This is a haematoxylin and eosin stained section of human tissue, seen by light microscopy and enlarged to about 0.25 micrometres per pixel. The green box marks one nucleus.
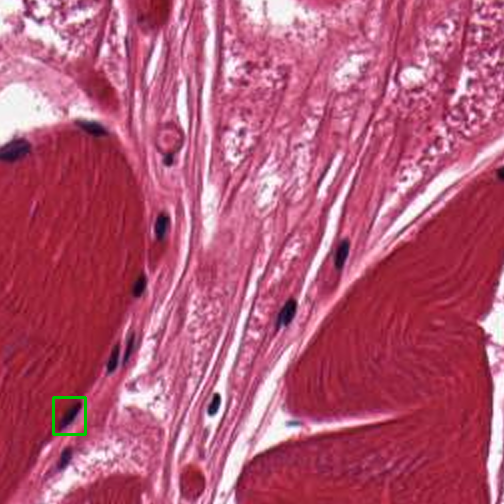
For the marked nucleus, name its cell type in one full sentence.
Part of a skeletal muscle fibre is the marked nucleus.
